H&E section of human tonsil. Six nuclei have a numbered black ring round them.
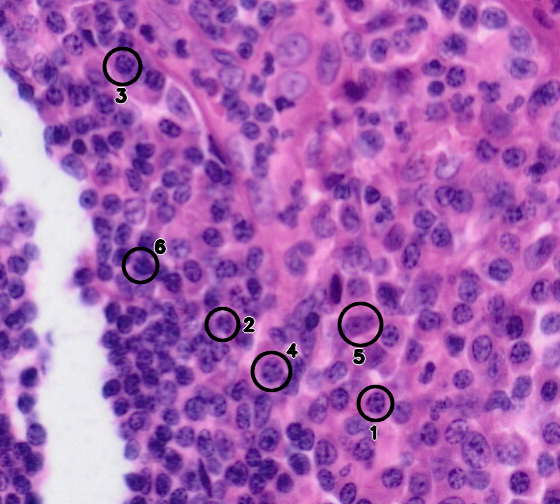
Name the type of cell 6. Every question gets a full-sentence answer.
The cell tagged with 6 in this tissue section is a small lymphocyte.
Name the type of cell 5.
Cell 5 should be recorded as a squamous epithelial cell.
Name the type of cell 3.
The identity of cell 3 is that of a plasma cell.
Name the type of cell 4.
In this section, the cell tagged 4 is a plasma cell.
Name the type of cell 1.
The cell marked with number 1 is a plasma cell.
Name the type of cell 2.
Regarding cell 2, this one is a plasma cell.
